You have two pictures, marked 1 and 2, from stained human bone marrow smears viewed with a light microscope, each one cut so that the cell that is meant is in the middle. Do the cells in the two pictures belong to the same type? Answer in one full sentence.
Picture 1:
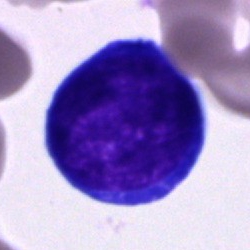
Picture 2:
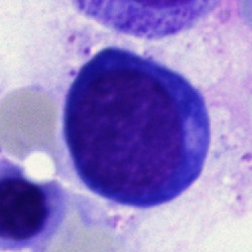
Yes, the two pictures both show proerythroblasts.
